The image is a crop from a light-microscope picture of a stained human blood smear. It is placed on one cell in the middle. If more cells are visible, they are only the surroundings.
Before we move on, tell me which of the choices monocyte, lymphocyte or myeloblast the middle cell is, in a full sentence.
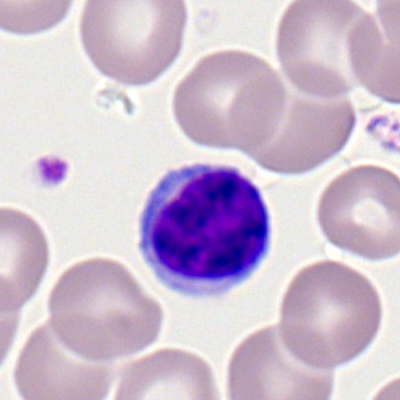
Regarding the central cell, it is a lymphocyte.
